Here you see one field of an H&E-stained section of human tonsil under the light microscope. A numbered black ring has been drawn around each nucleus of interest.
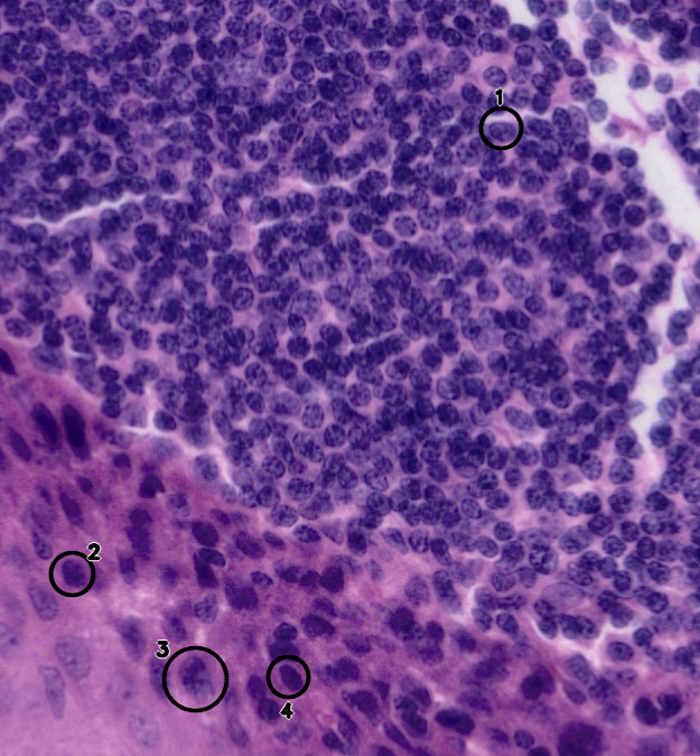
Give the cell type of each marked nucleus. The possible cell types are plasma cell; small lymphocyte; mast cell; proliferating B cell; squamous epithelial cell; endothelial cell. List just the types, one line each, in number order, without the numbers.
small lymphocyte
squamous epithelial cell
squamous epithelial cell
squamous epithelial cell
